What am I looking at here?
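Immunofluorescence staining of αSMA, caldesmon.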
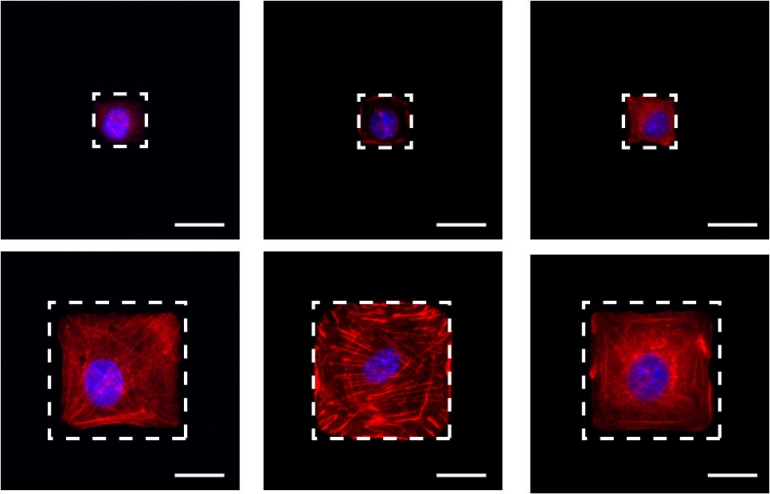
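Single cells are shown, each confined to a square island marked by a white dashed outline, in two rows of three. In the upper row the squares are small, and each cell is compact and fills its square, with red staining spread diffusely around a blue nucleus that takes up much of the cell. In the lower row the squares are far larger, and each cell spreads flat to the square's corners, taking a square shape itself. In these large cells the red staining forms many long straight fibres that cross the cytoplasm and gather thickly along the edges. The oval blue nucleus lies near the centre and occupies only a small part of each large cell.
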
